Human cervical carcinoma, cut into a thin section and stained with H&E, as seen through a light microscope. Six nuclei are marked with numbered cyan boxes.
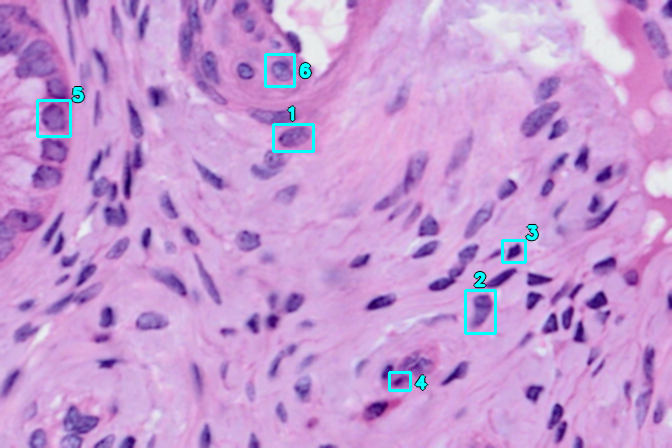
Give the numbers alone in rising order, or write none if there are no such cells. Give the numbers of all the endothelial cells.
4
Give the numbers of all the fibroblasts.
2, 3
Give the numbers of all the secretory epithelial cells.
5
